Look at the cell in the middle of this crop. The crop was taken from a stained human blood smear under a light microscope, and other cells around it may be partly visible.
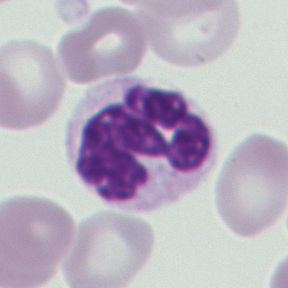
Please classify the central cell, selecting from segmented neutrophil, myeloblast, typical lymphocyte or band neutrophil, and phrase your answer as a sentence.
The cell around which this crop is centred is a segmented neutrophil.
